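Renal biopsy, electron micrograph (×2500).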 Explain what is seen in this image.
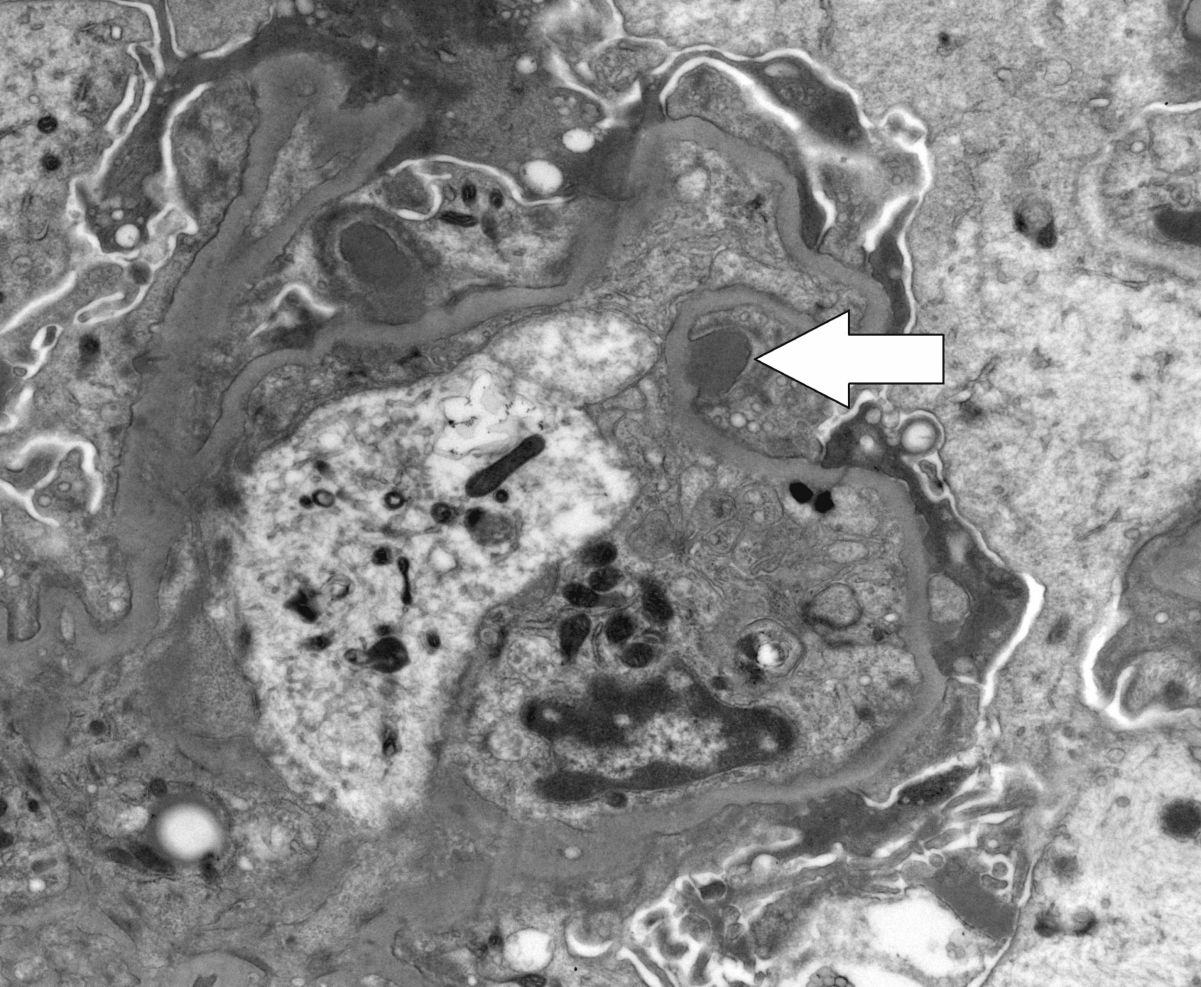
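This is a glomerular capillary loop. A thick, grey, wavy basement membrane curves around cells whose nuclei and cytoplasm fill the loop; one cell has dense clumped chromatin and several dark granules. On the outer, urinary side, the epithelial cytoplasm forms flattened, broadened stretches in some places.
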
